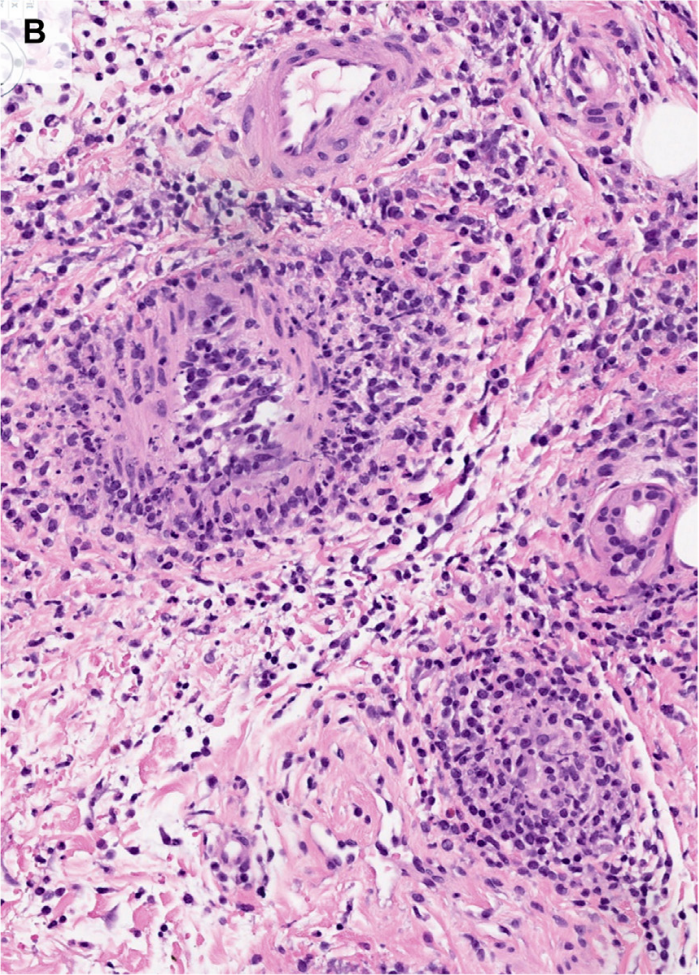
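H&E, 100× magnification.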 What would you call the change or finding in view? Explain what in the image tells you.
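Perivascular inflammation involving small and medium-sized blood vessels. Several vessel profiles with thick pink walls are present. Many small dark nucleated inflammatory cells crowd around and into the vessel walls. Inflammatory cells are also scattered in the collagen between the vessels.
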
